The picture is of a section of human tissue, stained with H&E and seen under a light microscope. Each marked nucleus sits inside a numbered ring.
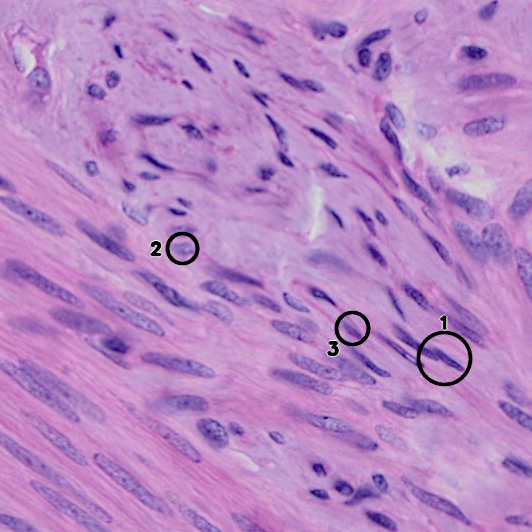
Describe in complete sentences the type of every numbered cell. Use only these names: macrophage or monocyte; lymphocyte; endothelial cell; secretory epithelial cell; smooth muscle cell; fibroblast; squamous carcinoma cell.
Cell 1 is a fibroblast, cell 2 is a smooth muscle cell and cell 3 is a smooth muscle cell.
